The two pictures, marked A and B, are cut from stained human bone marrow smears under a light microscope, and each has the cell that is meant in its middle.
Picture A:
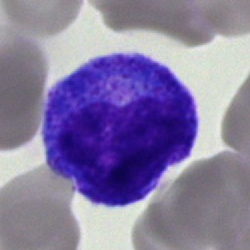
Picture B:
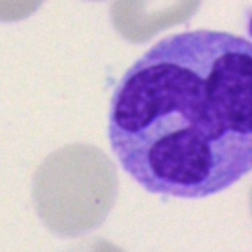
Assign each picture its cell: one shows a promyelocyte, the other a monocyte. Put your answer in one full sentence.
Picture A is of a promyelocyte, and picture B is of a monocyte.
